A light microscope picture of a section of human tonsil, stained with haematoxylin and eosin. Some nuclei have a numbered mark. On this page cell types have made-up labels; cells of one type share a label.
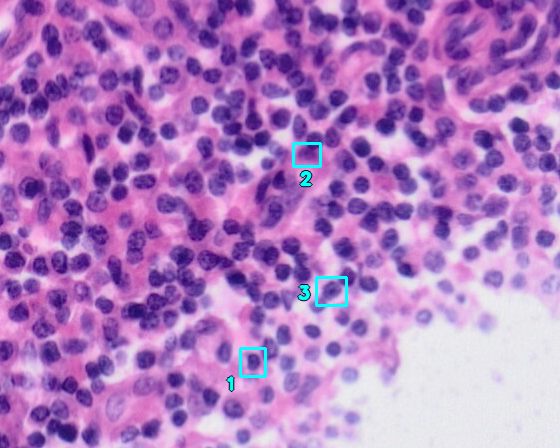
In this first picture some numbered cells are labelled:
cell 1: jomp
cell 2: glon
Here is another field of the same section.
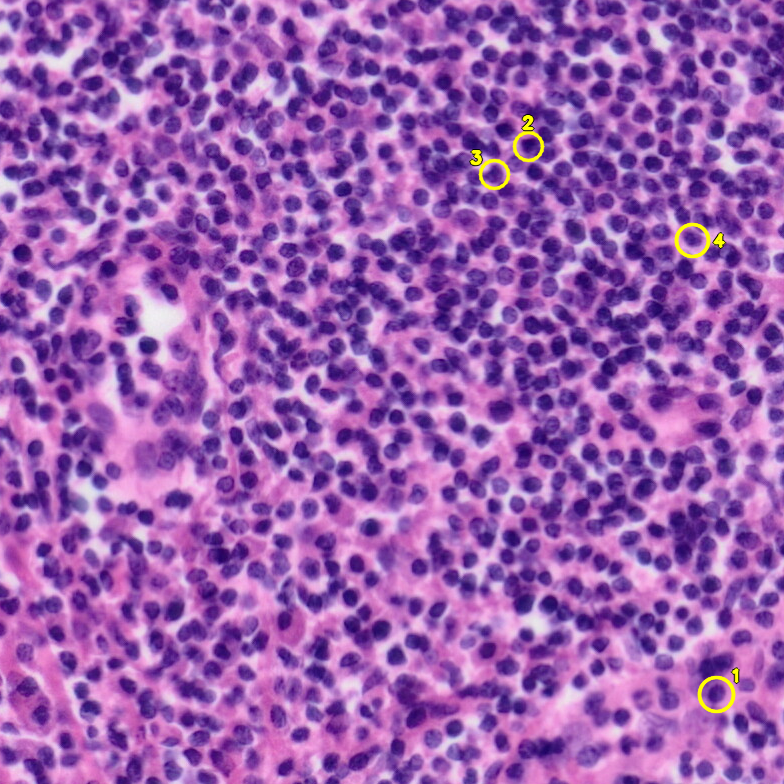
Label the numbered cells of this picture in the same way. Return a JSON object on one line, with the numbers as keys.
{"1": "glon", "2": "jomp", "3": "jomp", "4": "jomp"}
